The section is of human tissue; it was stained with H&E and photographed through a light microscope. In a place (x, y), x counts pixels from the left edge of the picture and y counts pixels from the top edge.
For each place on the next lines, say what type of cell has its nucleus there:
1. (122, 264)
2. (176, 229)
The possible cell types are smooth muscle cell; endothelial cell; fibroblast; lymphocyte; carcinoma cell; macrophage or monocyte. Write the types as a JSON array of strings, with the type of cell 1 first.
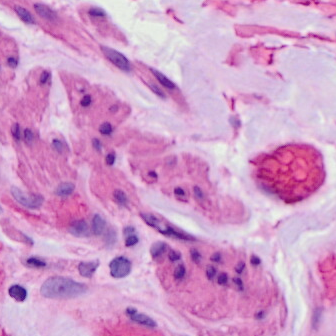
["lymphocyte", "smooth muscle cell"]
